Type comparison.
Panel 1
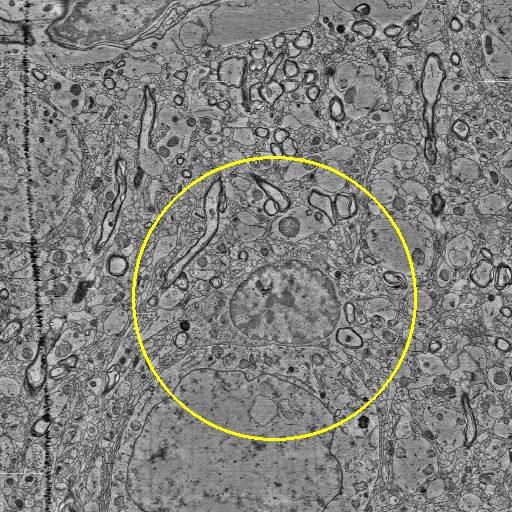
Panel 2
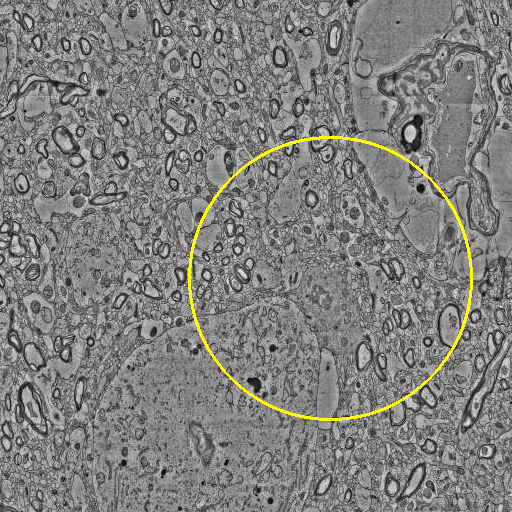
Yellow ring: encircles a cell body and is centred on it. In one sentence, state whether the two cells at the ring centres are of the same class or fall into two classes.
In these panels, the two cells at the ring centres are of the same class.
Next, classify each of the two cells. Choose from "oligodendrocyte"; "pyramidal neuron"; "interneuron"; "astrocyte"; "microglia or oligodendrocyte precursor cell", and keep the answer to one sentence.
In the first picture and in the second, the ring is centred on an oligodendrocyte.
